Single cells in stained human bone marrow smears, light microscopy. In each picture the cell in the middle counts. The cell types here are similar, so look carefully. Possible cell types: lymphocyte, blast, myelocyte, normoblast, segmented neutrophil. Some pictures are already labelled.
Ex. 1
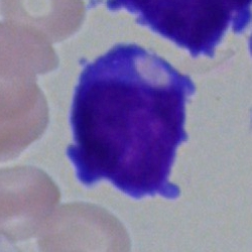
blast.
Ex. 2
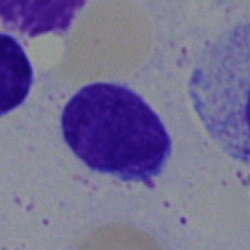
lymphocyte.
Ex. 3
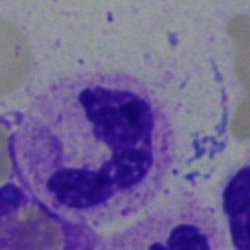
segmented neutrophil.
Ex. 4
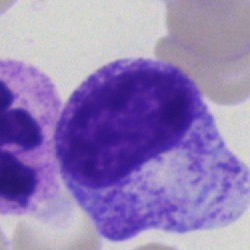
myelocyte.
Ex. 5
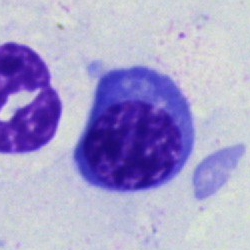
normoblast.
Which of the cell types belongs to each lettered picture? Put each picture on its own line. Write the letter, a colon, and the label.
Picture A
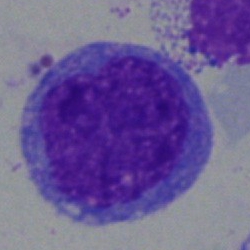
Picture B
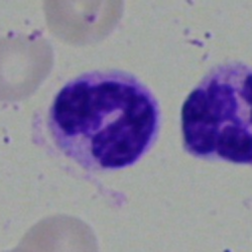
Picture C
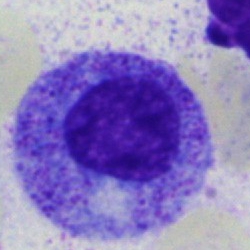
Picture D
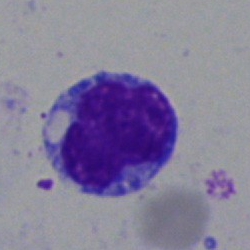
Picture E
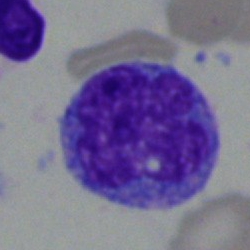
A: blast.
B: segmented neutrophil.
C: myelocyte.
D: lymphocyte.
E: blast.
